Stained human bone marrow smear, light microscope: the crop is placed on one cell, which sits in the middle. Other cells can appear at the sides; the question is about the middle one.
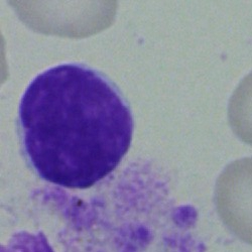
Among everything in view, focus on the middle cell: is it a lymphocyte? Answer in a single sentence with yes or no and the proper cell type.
Yes, the cell located at the center is a lymphocyte.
